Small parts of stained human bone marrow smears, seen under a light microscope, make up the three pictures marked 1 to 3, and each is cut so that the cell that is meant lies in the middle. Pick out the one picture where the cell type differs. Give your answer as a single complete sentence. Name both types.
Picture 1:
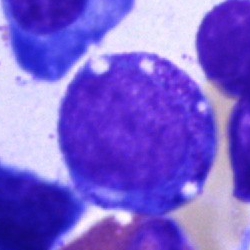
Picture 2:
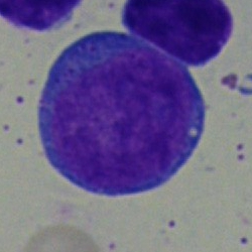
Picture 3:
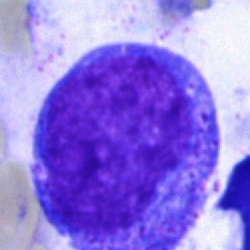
The others show promyelocytes, but picture 2 shows a proerythroblast.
